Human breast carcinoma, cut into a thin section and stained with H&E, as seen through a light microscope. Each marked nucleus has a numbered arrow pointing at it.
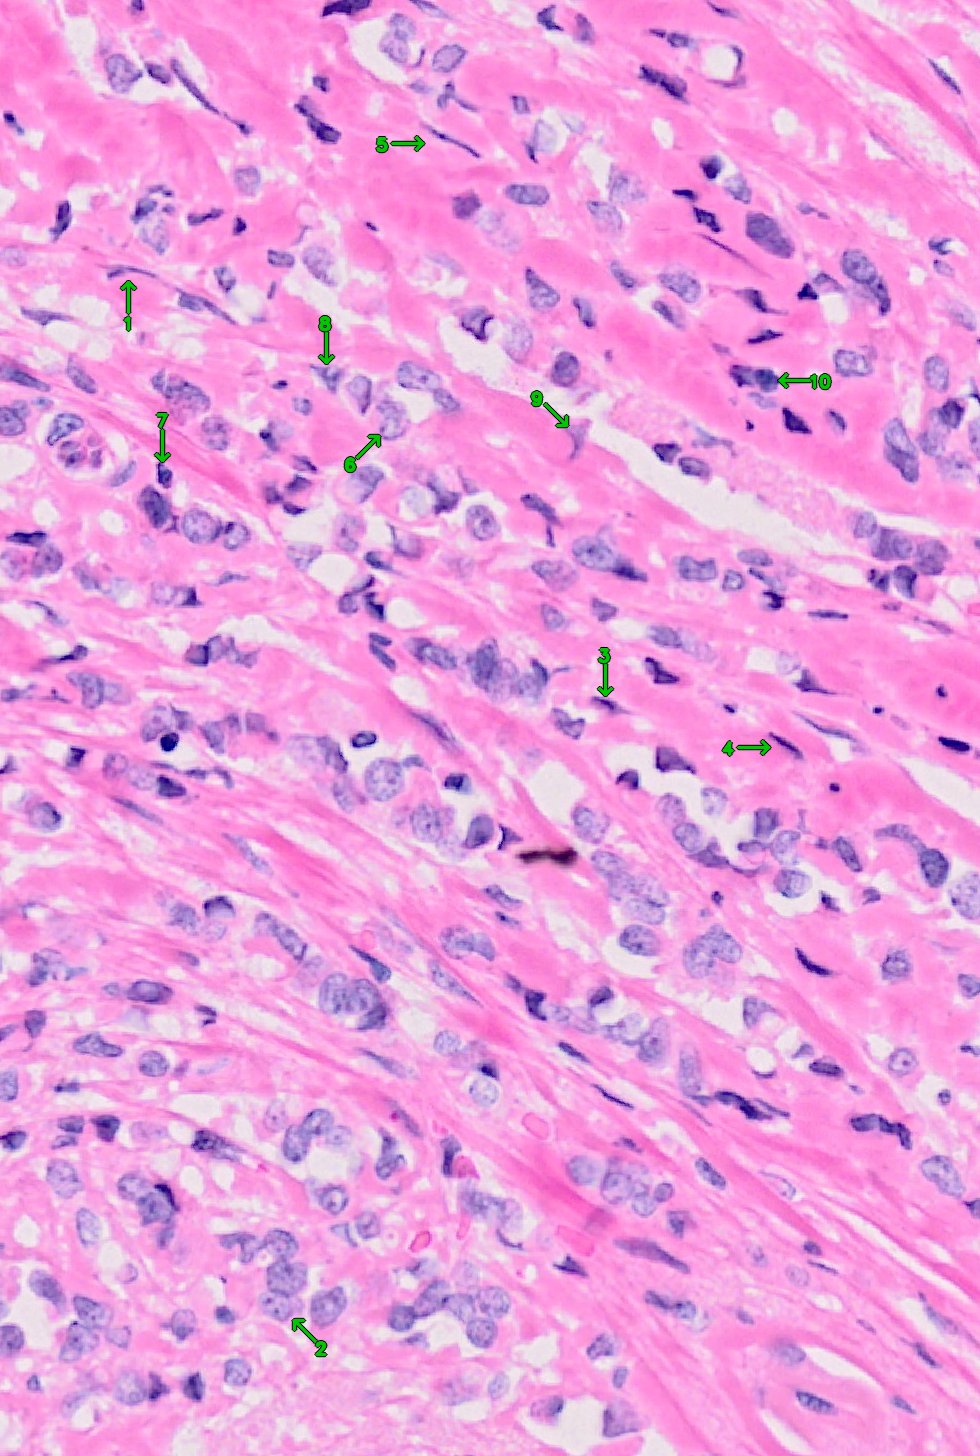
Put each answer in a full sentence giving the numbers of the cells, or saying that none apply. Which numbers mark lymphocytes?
The identity of cells 7 and 10: they are lymphocytes.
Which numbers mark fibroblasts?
In short, the numbered cells 1, 3, 4, 5, 8 and 9 are fibroblasts.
